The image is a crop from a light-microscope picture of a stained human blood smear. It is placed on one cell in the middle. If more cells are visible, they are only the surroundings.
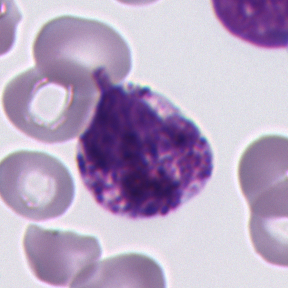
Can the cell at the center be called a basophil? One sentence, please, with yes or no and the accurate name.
Yes, the cell that the crop is centred on is a basophil.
